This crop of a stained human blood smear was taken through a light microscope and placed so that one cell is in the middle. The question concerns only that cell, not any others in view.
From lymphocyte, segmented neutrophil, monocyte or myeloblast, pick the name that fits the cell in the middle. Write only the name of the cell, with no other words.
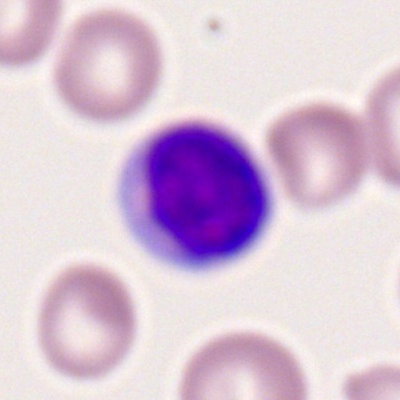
lymphocyte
